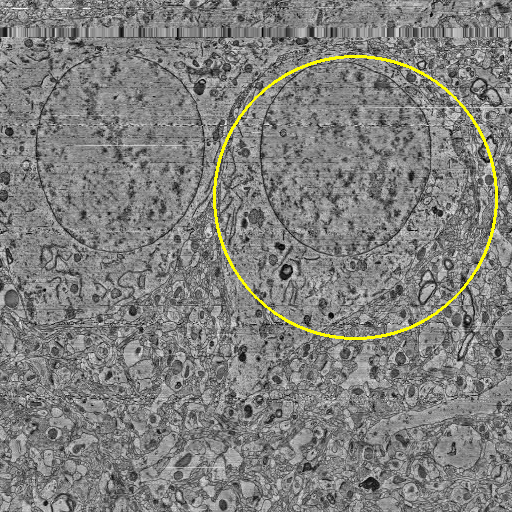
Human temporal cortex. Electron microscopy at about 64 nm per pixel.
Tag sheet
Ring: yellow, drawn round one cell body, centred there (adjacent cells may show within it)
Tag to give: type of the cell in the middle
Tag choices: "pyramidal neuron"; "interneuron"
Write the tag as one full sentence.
I tag the cell centred in the yellow ring as a pyramidal neuron in this picture.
